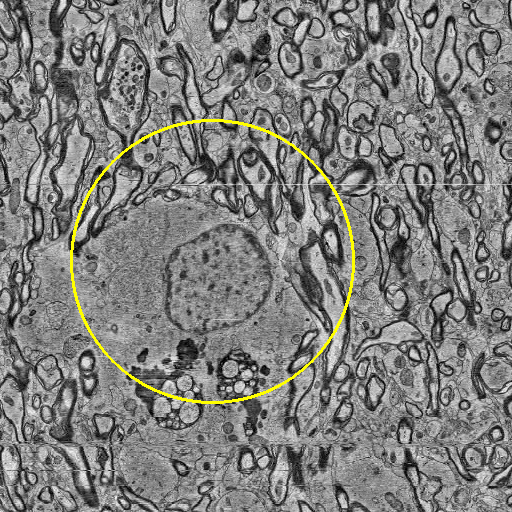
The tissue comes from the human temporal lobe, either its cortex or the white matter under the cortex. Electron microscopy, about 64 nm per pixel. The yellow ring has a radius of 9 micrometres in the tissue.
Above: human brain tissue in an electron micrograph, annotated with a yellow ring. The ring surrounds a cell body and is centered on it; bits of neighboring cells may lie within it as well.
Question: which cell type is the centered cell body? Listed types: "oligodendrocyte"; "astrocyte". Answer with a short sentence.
The centered cell body is an astrocyte.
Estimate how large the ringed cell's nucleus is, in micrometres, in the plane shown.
The ringed cell's nucleus measures approximately 8 by 7 micrometres in this plane.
